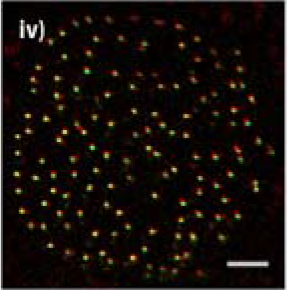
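This is an optical section of a multiciliated cell with many small fluorescent dots spread over its apical surface. Each dot shows red and green lying close together, often appearing yellow-orange where they overlap.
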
